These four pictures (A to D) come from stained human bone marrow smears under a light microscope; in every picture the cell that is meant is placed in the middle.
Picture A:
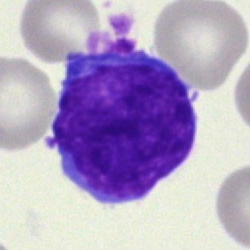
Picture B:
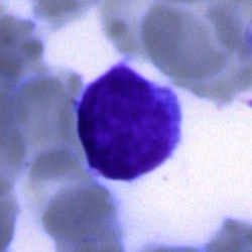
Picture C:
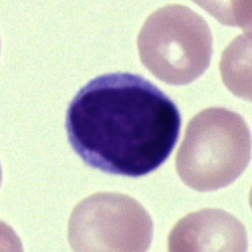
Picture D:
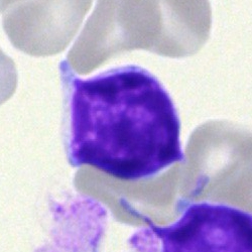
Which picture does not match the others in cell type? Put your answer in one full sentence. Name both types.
Unlike the rest, which show lymphocytes, picture A shows a blast.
